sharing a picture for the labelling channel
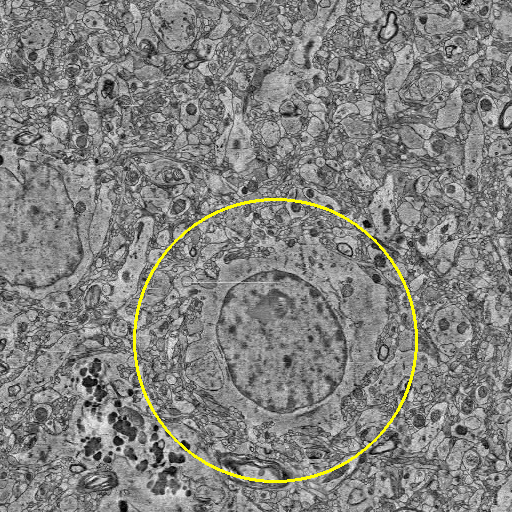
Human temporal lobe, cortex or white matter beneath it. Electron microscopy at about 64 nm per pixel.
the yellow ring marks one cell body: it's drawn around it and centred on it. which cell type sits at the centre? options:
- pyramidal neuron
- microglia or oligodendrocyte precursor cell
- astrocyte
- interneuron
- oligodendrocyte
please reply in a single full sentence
In the picture, the cell at the ring's centre is an astrocyte, going by the list.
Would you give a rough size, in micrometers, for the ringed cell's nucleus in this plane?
In this plane, approximately 10 by 8 micrometers.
